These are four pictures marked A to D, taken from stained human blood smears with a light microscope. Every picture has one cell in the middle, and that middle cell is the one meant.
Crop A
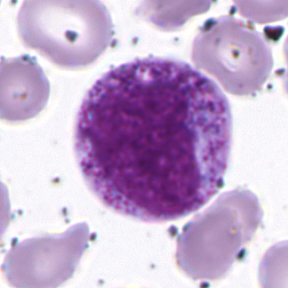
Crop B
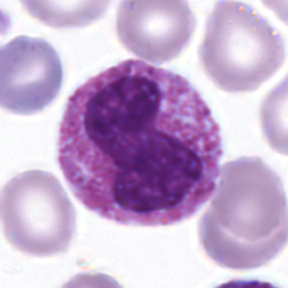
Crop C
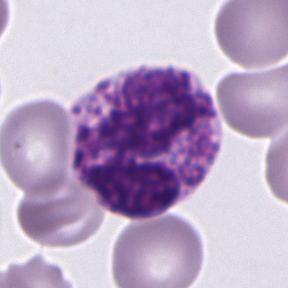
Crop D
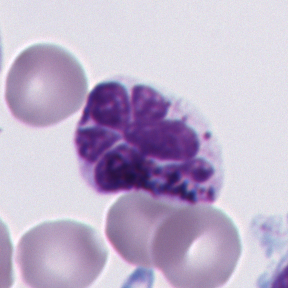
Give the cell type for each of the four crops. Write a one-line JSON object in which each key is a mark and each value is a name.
{"A": "promyelocyte", "B": "eosinophil", "C": "basophil", "D": "basophil"}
